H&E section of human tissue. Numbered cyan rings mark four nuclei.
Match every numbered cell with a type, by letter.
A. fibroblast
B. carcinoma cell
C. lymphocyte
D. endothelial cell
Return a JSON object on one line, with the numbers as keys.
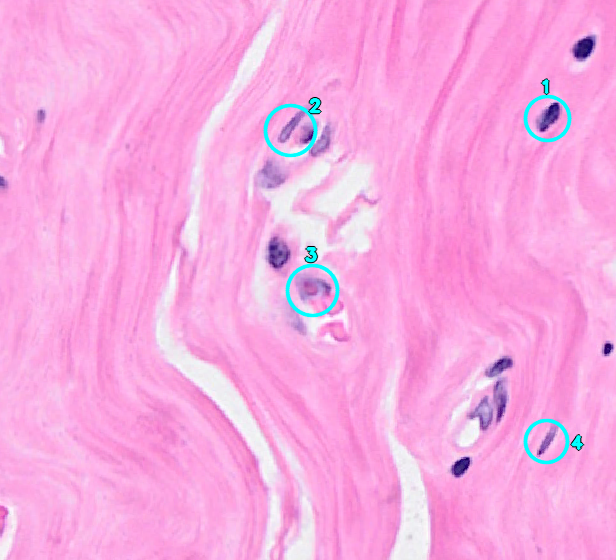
{"1": "C", "2": "D", "3": "D", "4": "A"}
